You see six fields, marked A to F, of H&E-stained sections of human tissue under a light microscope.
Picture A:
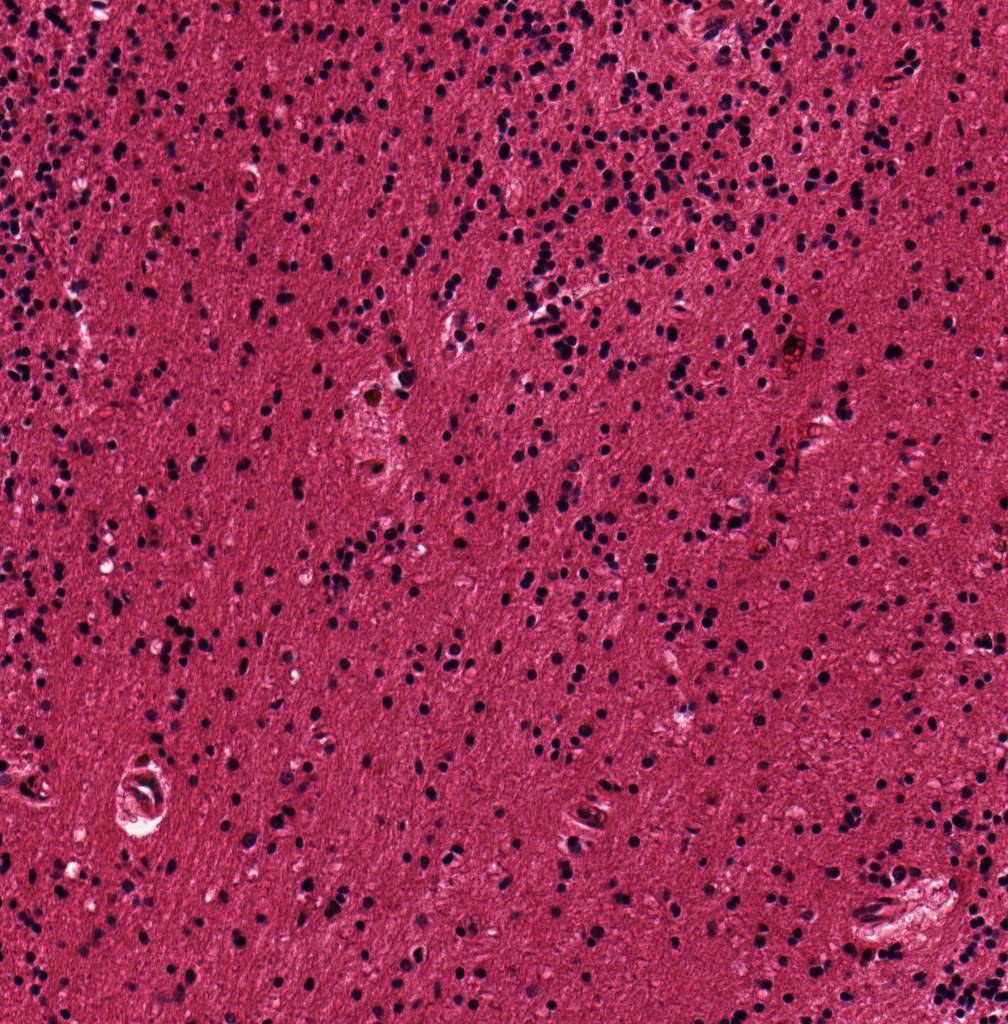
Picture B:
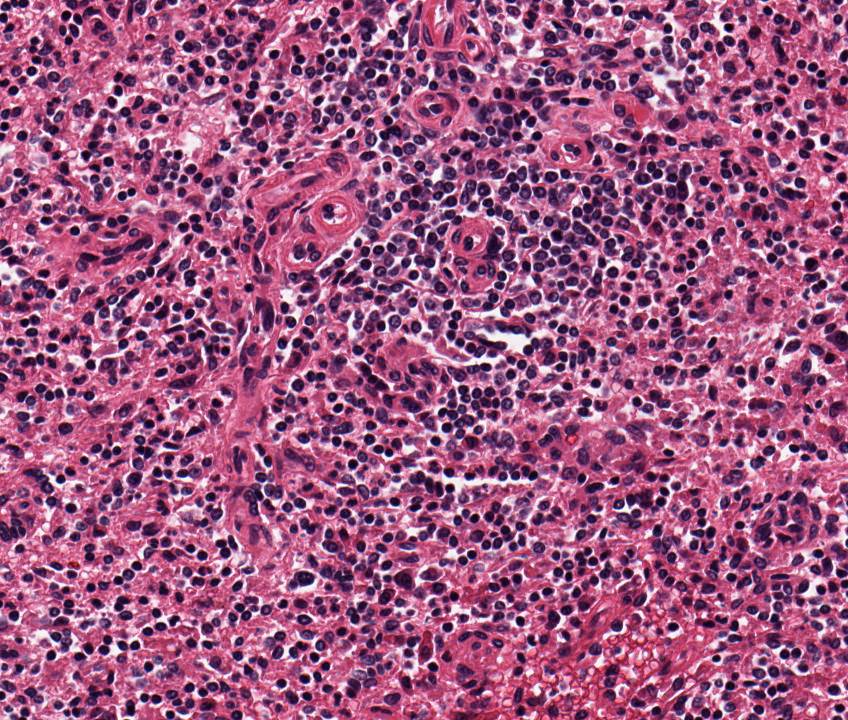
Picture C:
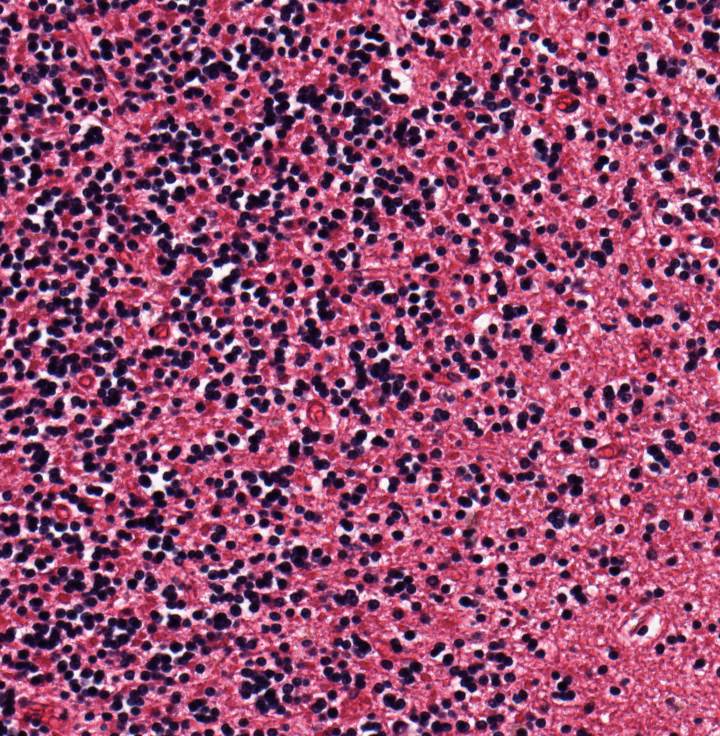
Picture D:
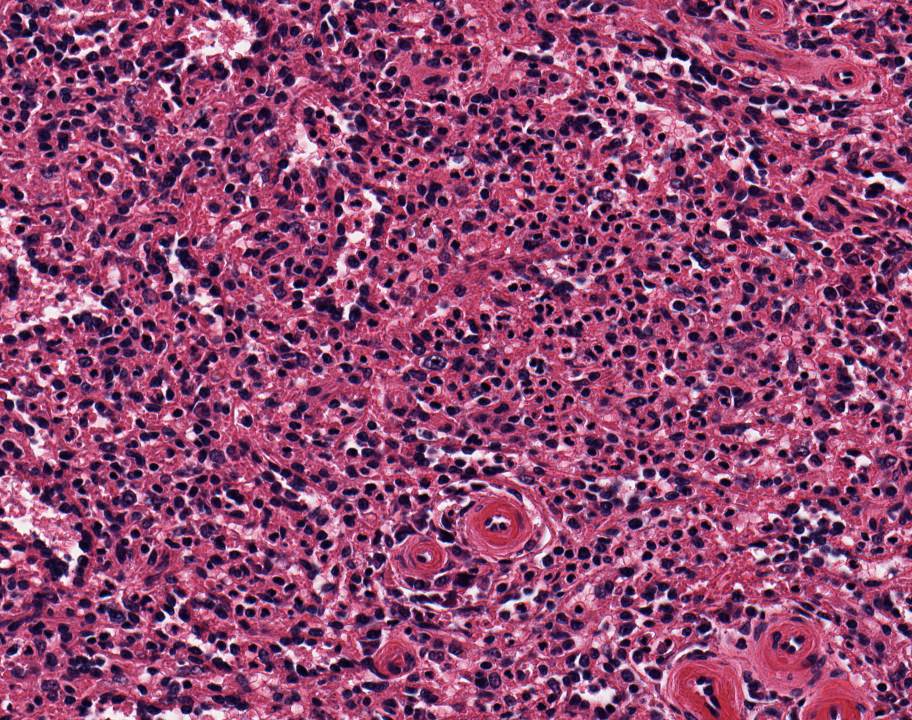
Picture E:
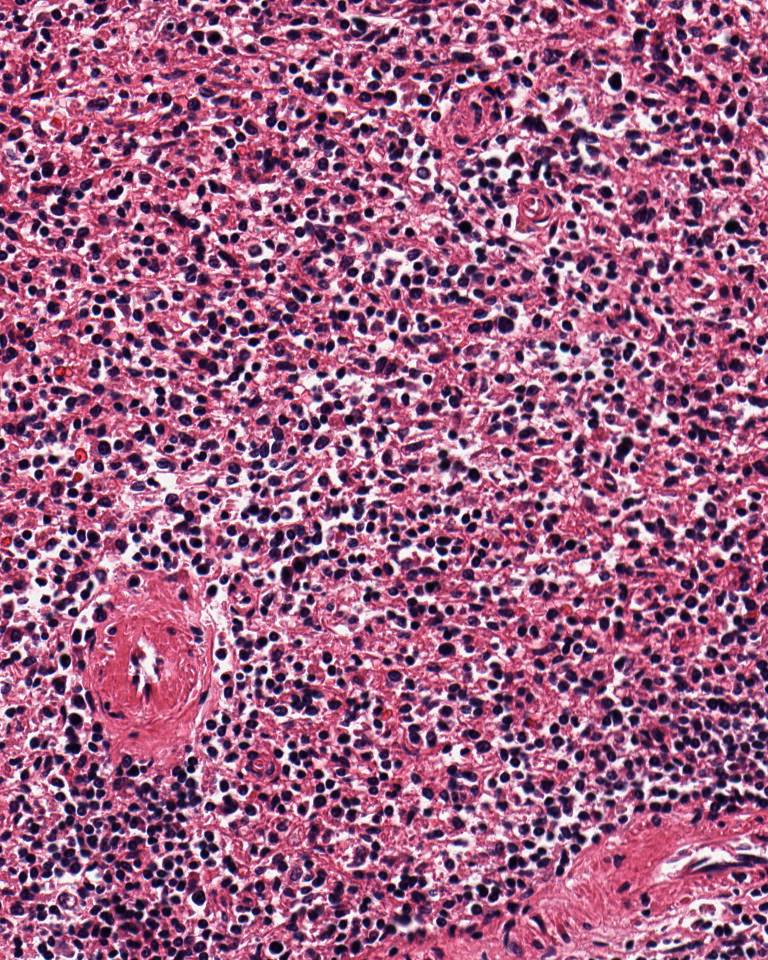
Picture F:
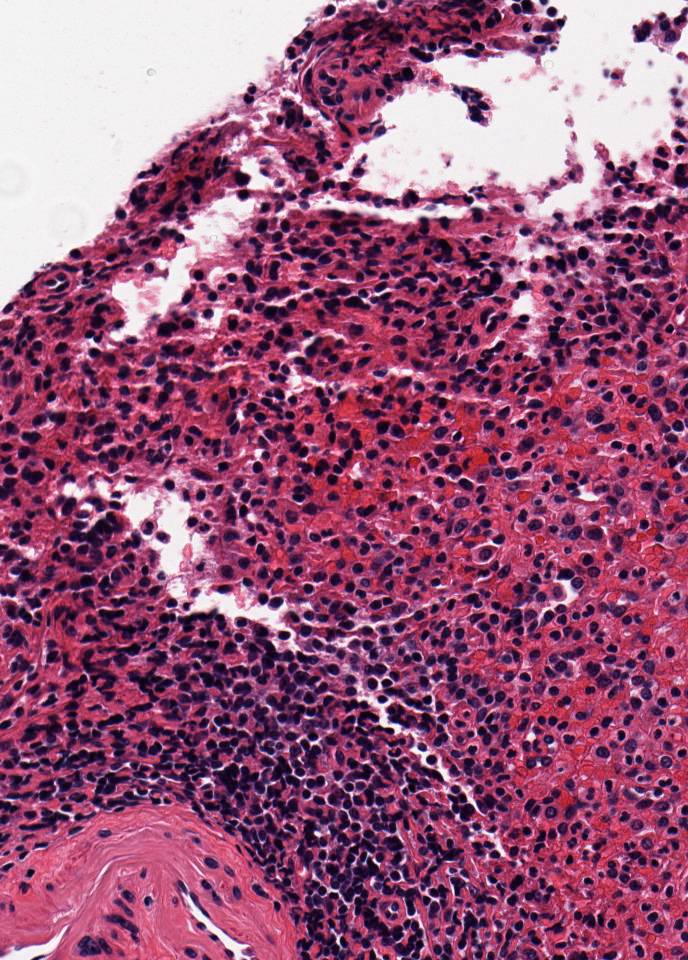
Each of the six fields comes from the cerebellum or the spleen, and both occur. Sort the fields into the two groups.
A: cerebellum
B: spleen
C: cerebellum
D: spleen
E: spleen
F: spleen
